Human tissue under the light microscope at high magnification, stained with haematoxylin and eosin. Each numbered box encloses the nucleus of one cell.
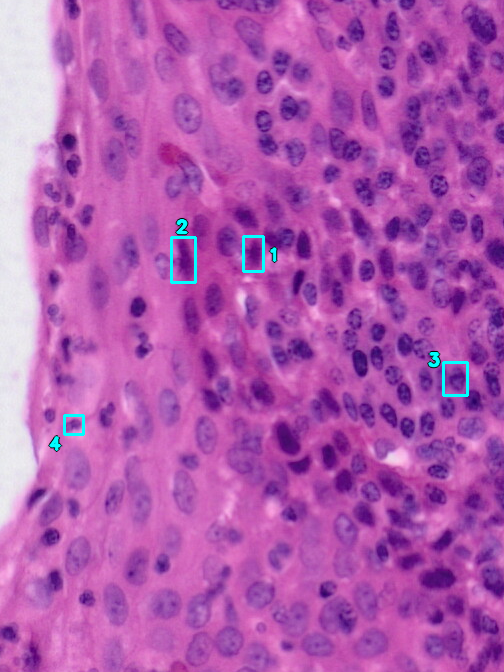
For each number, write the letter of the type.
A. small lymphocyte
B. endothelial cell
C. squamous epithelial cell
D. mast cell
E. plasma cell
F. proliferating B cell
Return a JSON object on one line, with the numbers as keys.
{"1": "C", "2": "C", "3": "E", "4": "C"}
